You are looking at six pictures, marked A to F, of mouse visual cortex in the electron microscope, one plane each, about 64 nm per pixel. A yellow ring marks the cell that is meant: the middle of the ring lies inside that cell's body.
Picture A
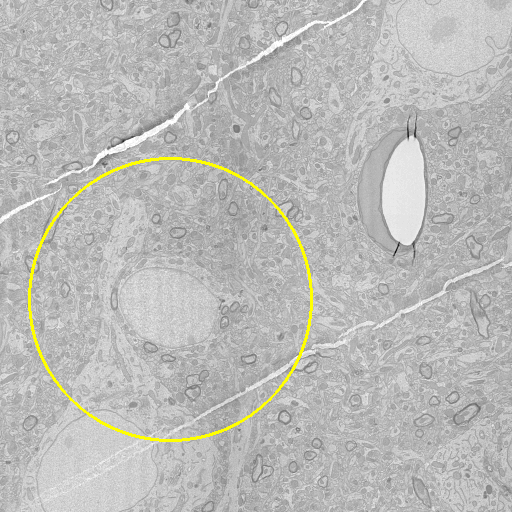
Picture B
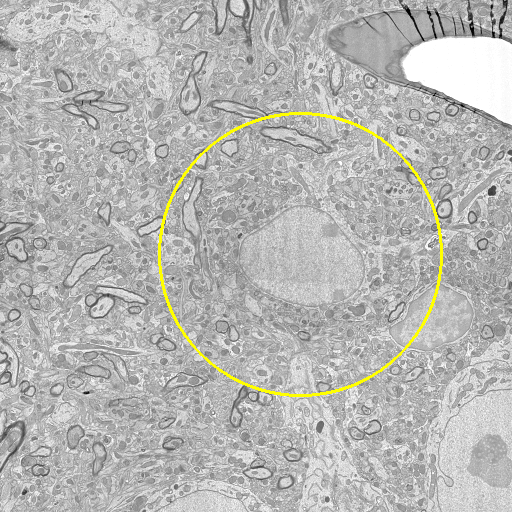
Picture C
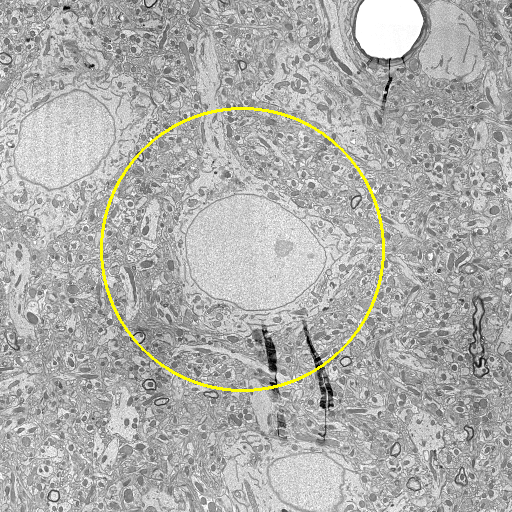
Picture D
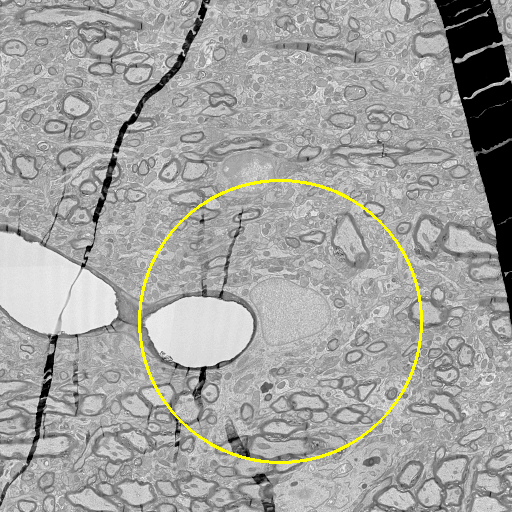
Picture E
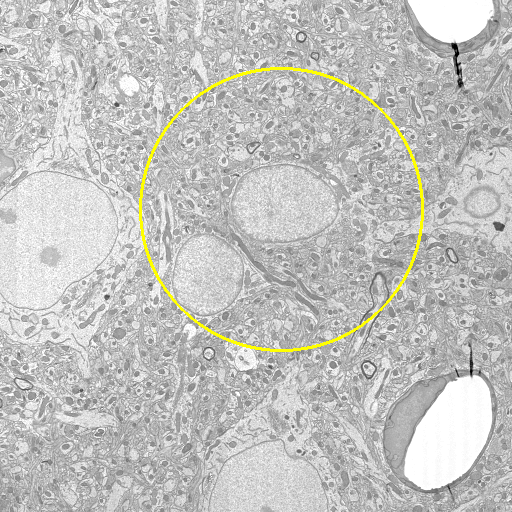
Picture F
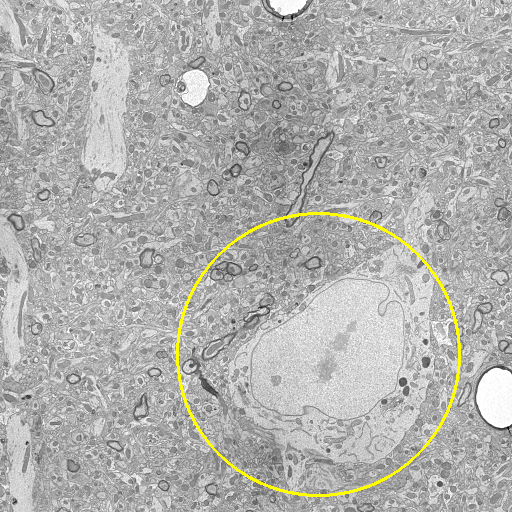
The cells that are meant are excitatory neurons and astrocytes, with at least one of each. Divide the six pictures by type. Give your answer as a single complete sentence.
Pictures C and F show excitatory neurons; pictures A, B, D and E show astrocytes.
